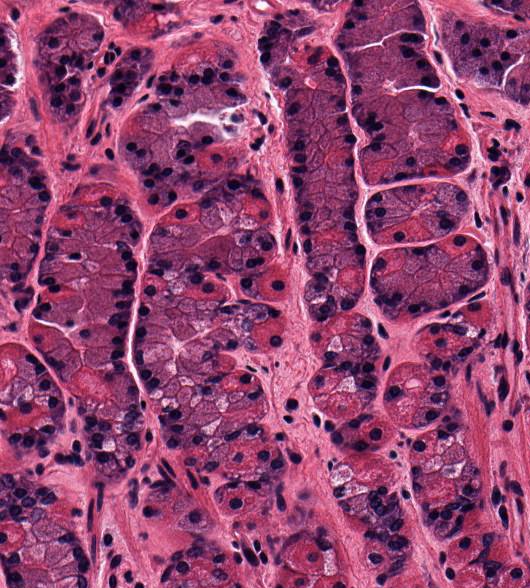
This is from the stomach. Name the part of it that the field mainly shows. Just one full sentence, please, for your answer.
The structure this section shows is fundic glands.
